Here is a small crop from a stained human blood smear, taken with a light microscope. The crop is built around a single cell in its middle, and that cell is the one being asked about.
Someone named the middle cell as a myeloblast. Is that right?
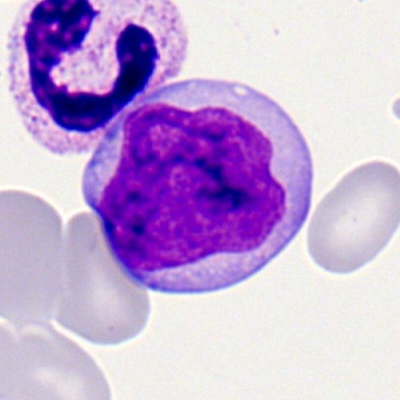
yes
